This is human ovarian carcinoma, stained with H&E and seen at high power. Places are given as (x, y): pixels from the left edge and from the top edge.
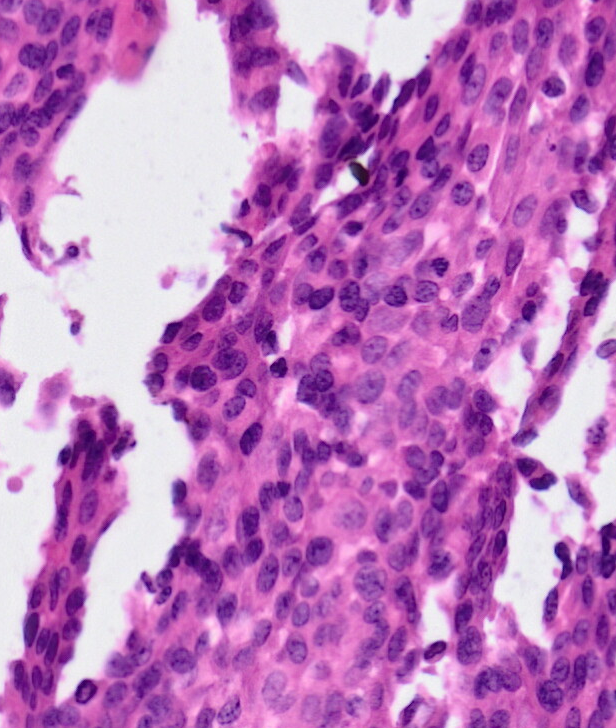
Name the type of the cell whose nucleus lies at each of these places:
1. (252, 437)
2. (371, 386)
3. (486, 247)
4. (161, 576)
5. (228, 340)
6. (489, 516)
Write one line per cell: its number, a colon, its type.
1: carcinoma cell
2: carcinoma cell
3: macrophage or monocyte
4: macrophage or monocyte
5: carcinoma cell
6: carcinoma cell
